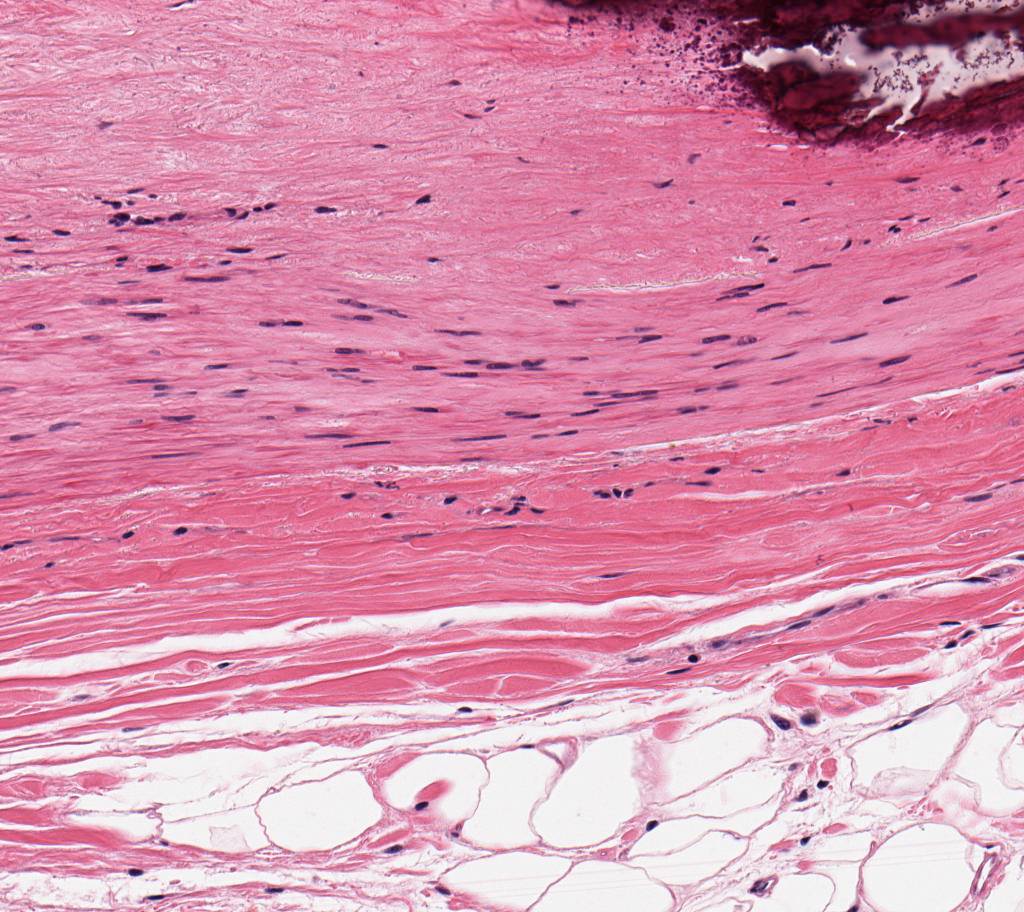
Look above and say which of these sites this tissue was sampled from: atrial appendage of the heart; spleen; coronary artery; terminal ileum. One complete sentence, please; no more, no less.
From the coronary artery was taken the tissue in this section.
